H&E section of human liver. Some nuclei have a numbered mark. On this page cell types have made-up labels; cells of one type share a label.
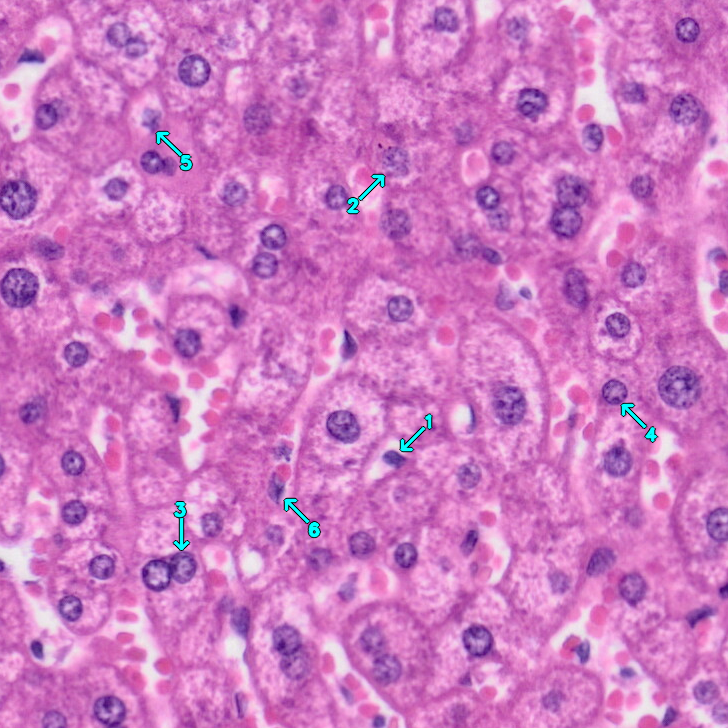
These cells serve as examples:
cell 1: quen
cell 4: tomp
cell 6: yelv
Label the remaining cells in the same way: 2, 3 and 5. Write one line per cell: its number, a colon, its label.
2: tomp
3: tomp
5: yelv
